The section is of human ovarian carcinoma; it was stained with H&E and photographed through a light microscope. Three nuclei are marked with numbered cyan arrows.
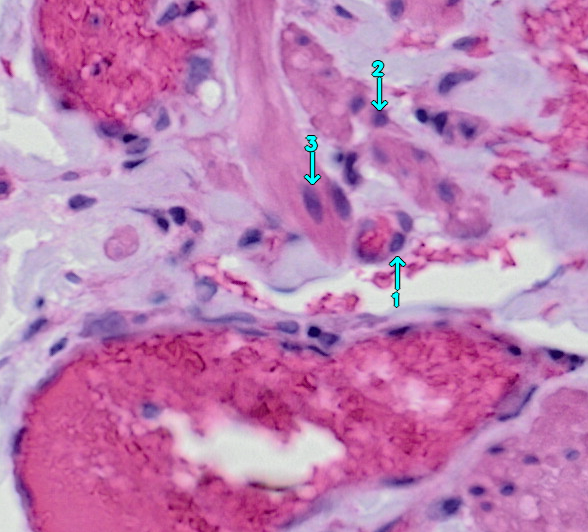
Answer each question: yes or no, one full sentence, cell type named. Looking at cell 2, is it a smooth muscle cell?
Yes, the cell distinguished by number 2 is a smooth muscle cell.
